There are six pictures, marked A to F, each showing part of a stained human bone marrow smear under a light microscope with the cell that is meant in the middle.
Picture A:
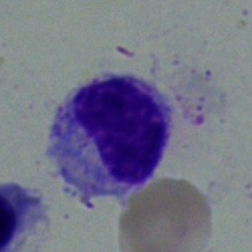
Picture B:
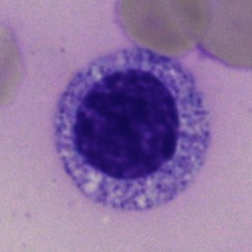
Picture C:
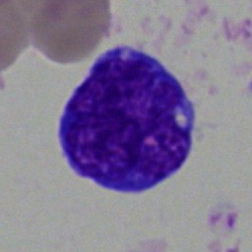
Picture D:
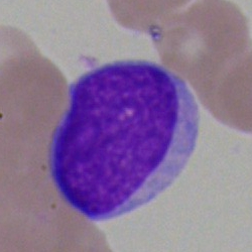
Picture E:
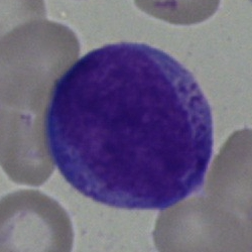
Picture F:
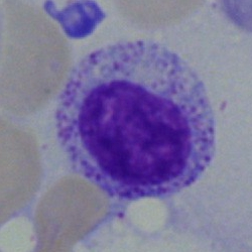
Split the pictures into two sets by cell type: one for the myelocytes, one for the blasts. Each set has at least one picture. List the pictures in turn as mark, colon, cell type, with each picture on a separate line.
A: myelocyte
B: myelocyte
C: blast
D: blast
E: blast
F: myelocyte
